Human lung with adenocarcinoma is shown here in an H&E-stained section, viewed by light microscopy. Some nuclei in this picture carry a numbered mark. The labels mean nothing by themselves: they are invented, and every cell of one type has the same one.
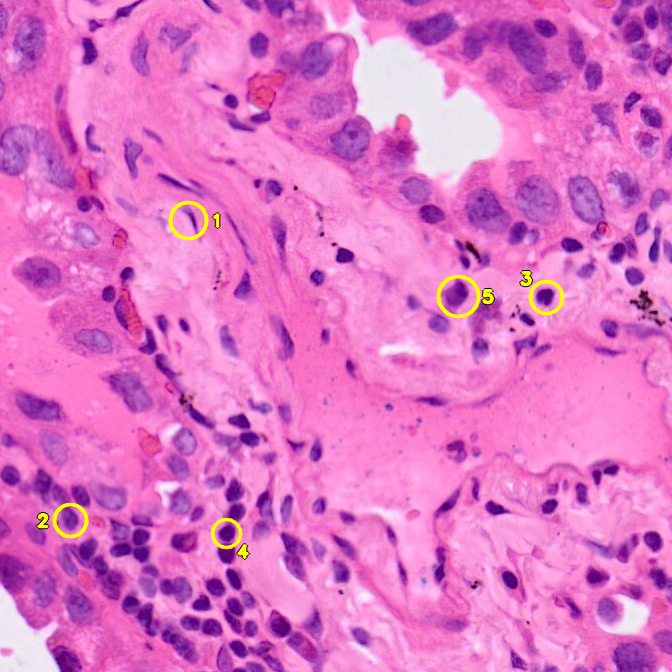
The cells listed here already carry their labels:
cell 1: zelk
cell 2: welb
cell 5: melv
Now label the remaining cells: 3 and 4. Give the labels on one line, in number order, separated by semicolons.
welb; welb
